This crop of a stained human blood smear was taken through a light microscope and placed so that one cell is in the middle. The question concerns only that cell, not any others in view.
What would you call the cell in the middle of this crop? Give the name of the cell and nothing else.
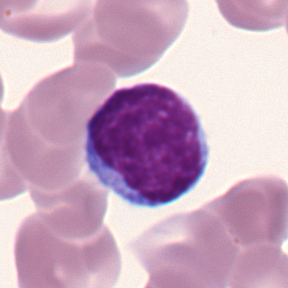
lymphocyte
